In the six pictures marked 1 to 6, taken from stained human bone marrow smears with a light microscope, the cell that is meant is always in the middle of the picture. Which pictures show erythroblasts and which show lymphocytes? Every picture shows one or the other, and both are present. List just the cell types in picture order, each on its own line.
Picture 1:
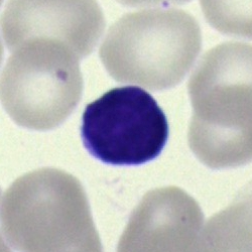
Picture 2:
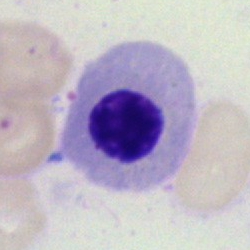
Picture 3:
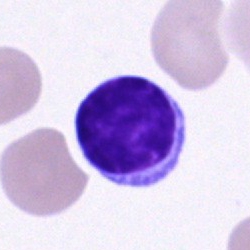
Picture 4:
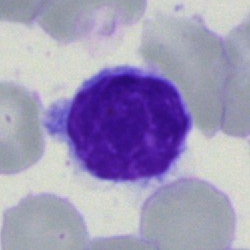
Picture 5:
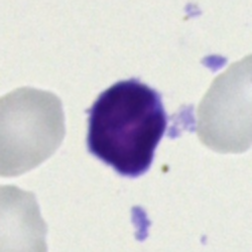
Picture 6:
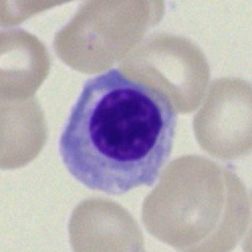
lymphocyte
erythroblast
lymphocyte
lymphocyte
lymphocyte
erythroblast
